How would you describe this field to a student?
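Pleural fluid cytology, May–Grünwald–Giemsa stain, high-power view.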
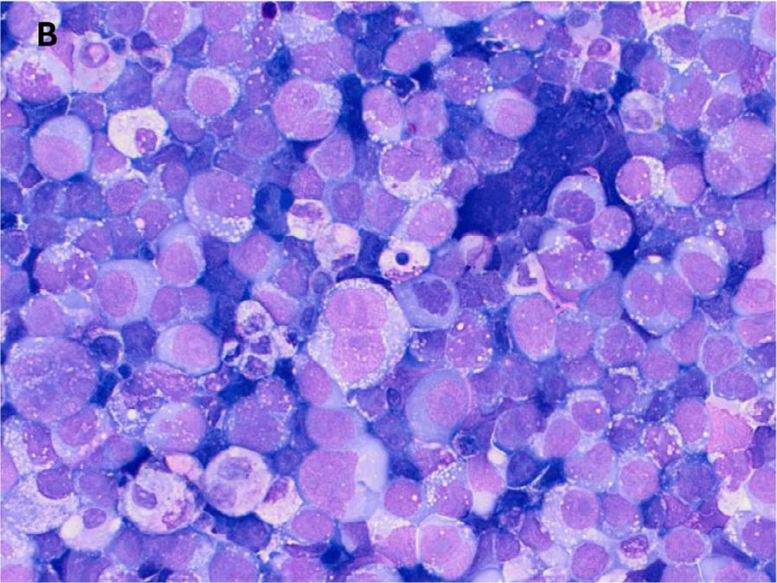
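Large pleomorphic blastoid cells crowd the field, with round to ovoid, sometimes irregular, purple nuclei of open, fine chromatin. Their blue cytoplasm is ample and holds many small clear vacuoles. Scattered smaller cells with dense dark nuclei lie among them.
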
